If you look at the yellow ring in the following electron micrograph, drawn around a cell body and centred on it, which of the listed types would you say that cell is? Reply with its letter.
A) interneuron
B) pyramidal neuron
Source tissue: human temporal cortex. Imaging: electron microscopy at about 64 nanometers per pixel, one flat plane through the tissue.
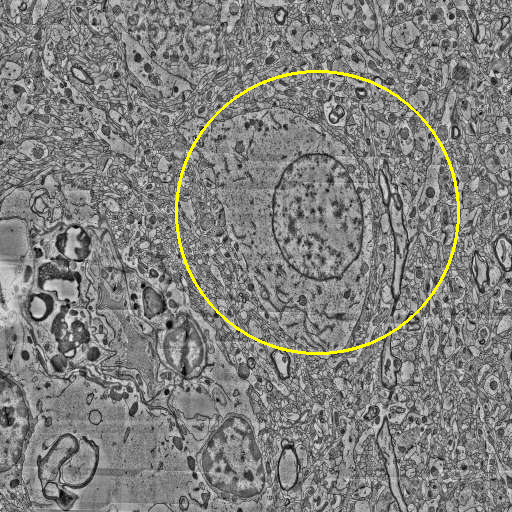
B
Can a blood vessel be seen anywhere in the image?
Yes, there is a blood vessel in the image.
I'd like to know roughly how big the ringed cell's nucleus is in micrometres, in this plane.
The nucleus appears roughly 8 by 6 micrometres in this plane.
